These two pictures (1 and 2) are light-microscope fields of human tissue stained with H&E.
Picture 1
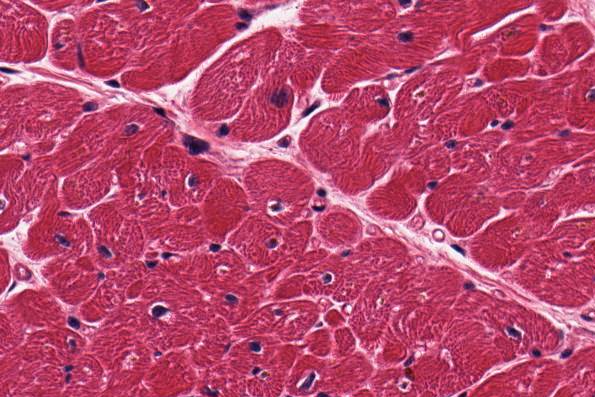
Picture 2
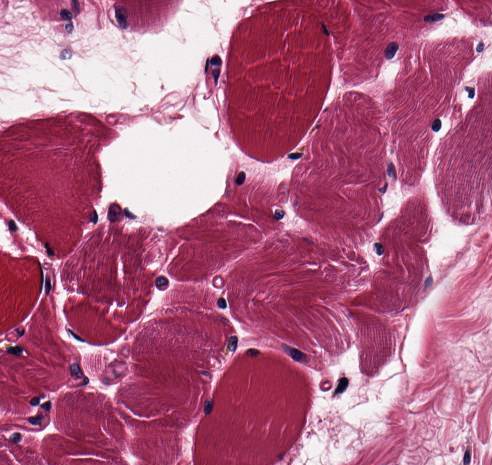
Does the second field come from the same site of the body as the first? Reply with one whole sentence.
No, picture 1 comes from the left ventricle of the heart and picture 2 comes from skeletal muscle.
